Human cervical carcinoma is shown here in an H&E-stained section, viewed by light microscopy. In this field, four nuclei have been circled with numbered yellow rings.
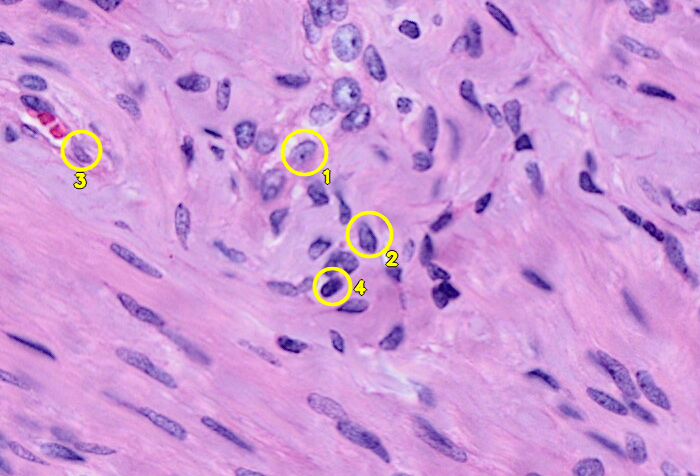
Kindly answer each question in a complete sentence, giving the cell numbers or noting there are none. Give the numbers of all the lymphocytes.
Of those with numbers, only cell 4 is a lymphocyte.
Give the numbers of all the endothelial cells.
The cells to which the numbers 1 and 3 refer are endothelial cells.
